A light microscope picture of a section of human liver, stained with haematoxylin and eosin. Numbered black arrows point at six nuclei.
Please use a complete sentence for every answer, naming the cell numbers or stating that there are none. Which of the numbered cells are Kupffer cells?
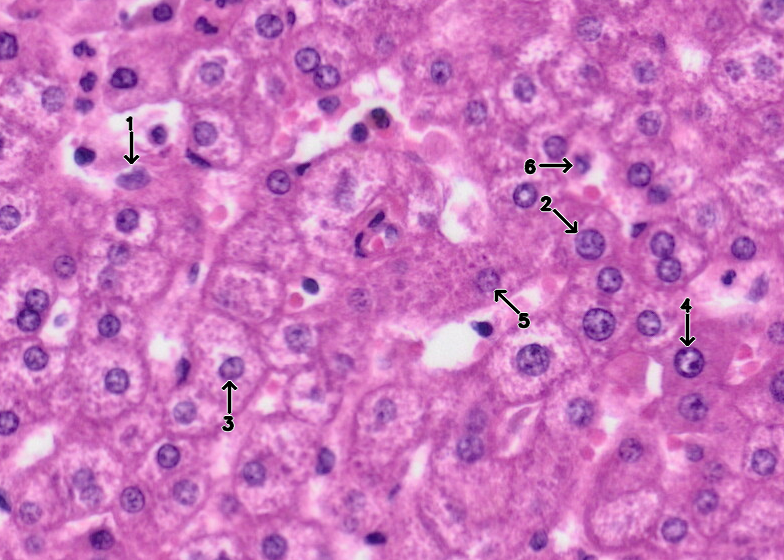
Of the numbered cells, only cell 6 is a Kupffer cell.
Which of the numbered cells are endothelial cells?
Among all the marked cells, an endothelial cell is found only at number 1.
